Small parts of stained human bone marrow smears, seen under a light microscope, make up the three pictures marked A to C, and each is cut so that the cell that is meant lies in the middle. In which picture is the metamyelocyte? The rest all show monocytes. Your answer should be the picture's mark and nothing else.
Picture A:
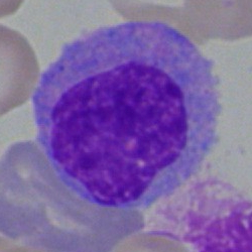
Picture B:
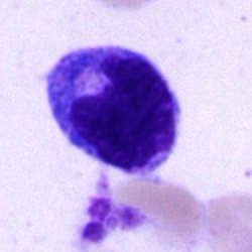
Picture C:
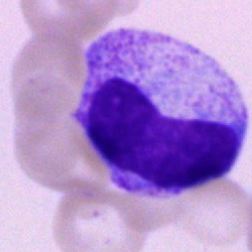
C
